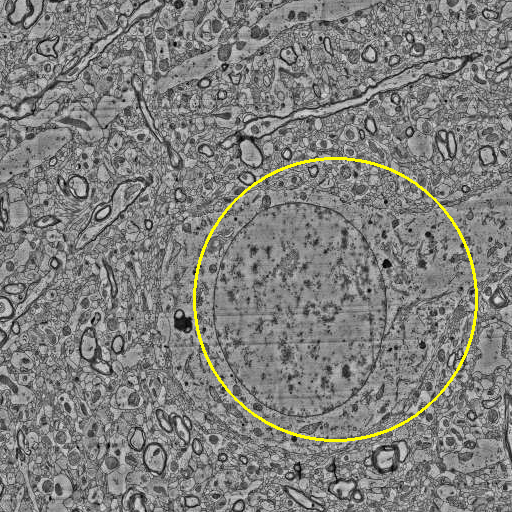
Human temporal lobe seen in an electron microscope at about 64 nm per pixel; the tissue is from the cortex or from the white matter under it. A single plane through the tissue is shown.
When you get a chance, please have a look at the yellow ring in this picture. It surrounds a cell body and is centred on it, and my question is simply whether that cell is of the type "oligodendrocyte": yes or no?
No, the cell is of another type.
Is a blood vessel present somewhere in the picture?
No, there is no blood vessel.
